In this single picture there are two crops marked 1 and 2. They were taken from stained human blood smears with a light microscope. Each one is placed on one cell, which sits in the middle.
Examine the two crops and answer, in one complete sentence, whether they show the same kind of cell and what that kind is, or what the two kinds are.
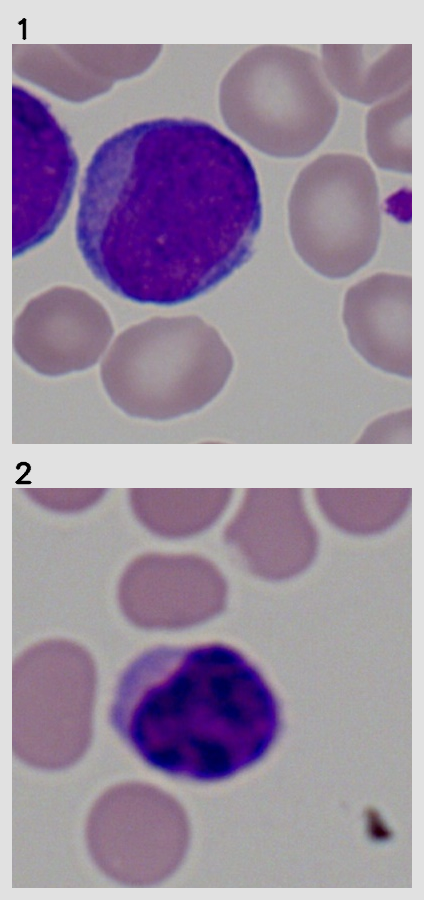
No, the assignment should read crop 1, a blast; crop 2, a lymphocyte.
